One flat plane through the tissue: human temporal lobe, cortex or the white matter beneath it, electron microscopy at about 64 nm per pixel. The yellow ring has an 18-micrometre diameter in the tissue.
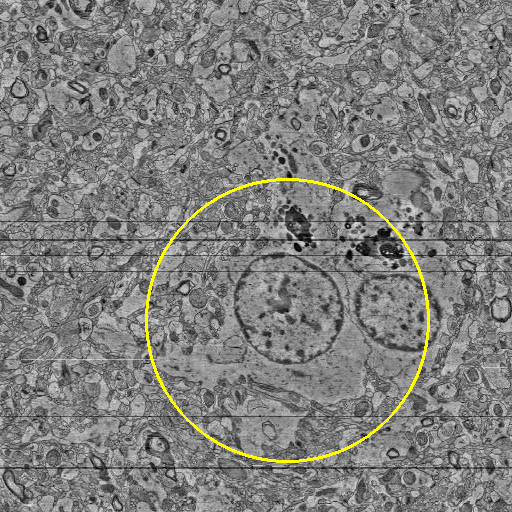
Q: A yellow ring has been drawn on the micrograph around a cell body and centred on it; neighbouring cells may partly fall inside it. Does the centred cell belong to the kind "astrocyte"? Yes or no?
Yes, it belongs to that kind.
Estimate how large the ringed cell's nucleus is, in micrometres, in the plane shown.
The nucleus comes to roughly 8 by 7 micrometres in this plane.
